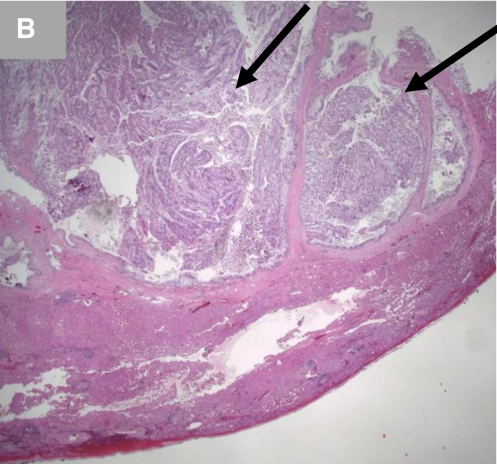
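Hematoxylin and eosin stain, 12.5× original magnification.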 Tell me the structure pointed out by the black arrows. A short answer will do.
Papillary fronds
